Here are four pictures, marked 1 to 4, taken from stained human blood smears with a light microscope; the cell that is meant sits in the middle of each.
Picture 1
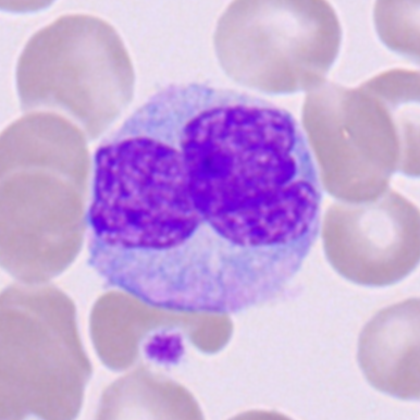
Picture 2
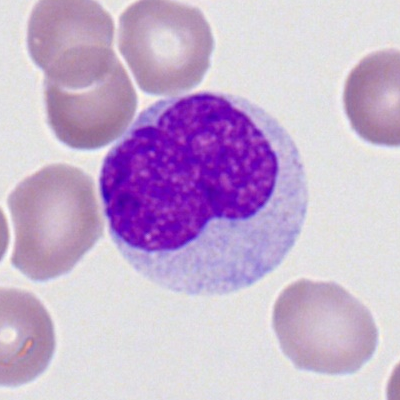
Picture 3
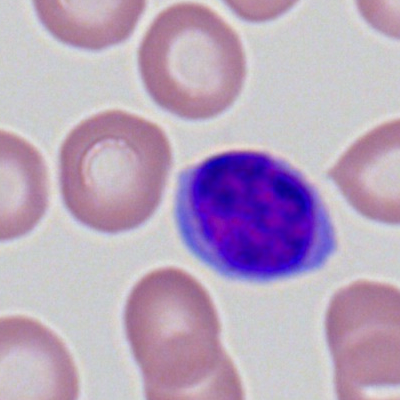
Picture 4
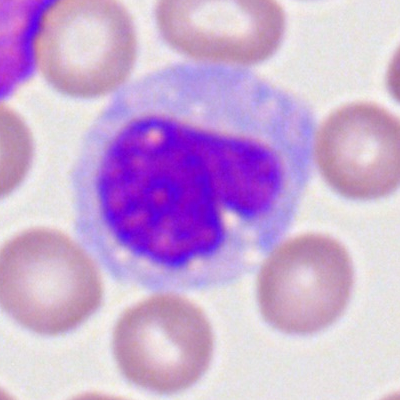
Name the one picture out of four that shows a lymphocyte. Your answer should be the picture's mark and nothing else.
3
